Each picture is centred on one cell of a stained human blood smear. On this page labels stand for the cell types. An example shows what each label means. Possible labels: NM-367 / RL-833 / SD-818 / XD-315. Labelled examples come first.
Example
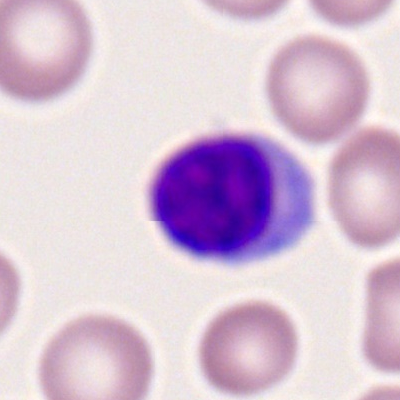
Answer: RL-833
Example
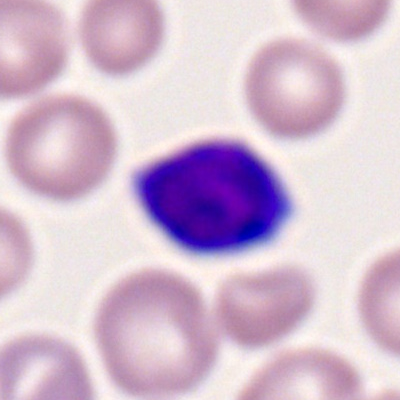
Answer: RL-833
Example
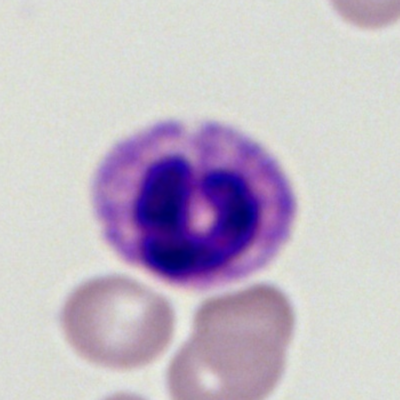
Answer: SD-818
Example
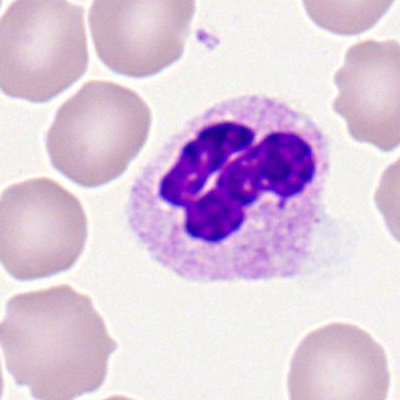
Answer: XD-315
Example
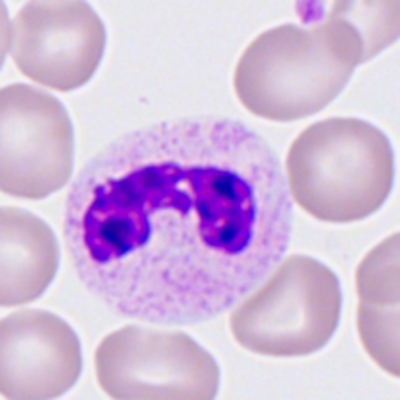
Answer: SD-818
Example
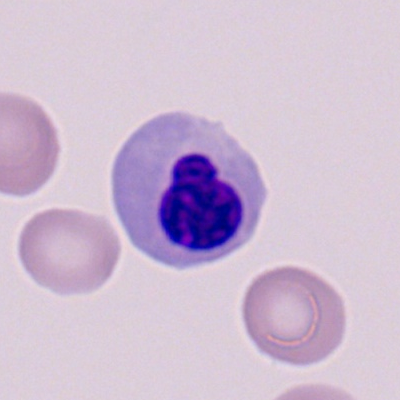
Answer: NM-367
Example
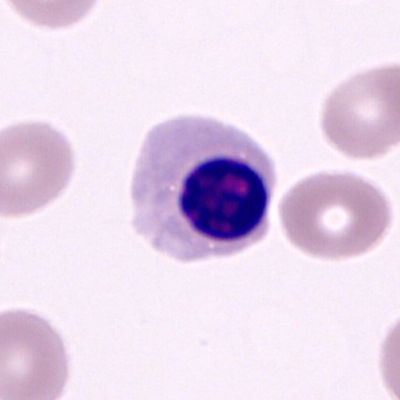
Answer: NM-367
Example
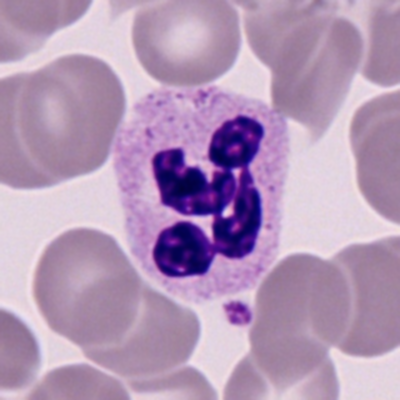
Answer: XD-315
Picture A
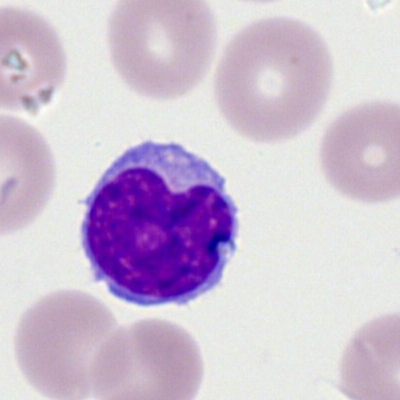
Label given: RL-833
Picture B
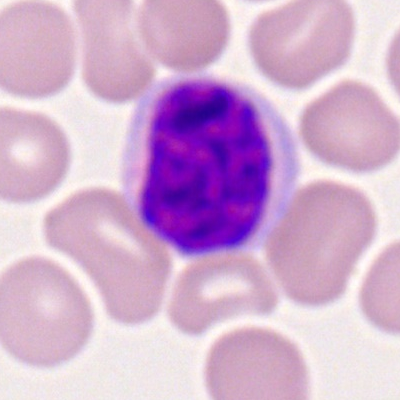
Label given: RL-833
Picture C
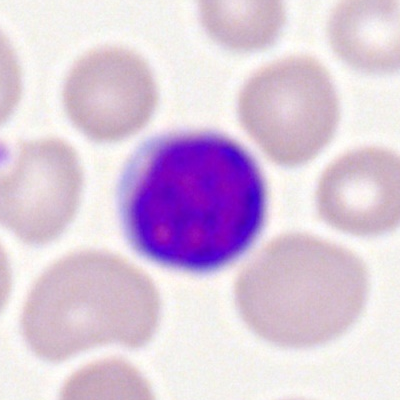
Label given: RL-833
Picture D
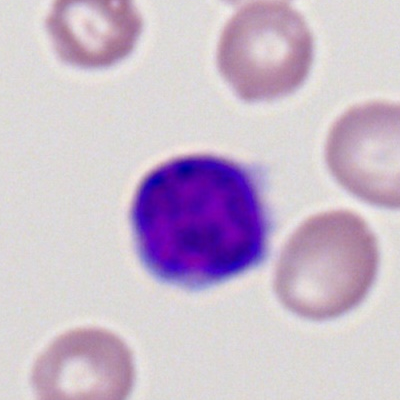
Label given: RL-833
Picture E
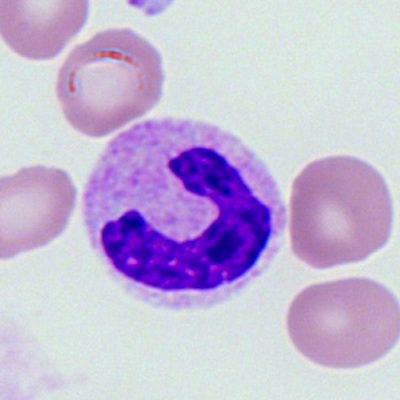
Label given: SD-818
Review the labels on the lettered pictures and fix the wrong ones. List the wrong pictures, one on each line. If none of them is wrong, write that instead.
All labels are correct.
